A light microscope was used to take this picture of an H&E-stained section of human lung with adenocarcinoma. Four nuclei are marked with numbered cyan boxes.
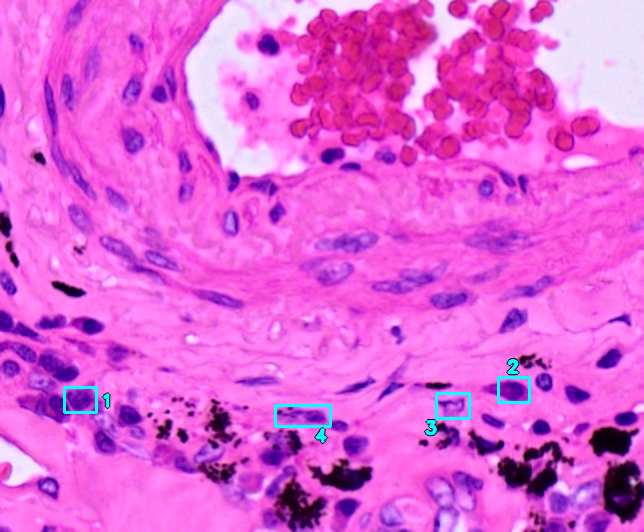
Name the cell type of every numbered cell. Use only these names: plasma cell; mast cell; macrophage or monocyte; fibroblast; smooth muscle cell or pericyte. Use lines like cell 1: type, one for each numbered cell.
cell 1: plasma cell
cell 2: plasma cell
cell 3: fibroblast
cell 4: fibroblast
